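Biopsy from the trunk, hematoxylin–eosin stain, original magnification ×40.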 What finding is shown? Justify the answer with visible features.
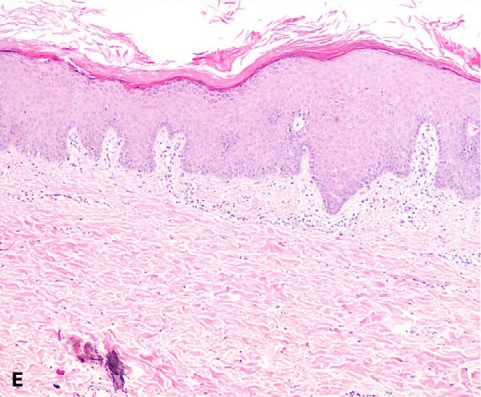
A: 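Psoriasiform acanthosis. The epidermis is thickened.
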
